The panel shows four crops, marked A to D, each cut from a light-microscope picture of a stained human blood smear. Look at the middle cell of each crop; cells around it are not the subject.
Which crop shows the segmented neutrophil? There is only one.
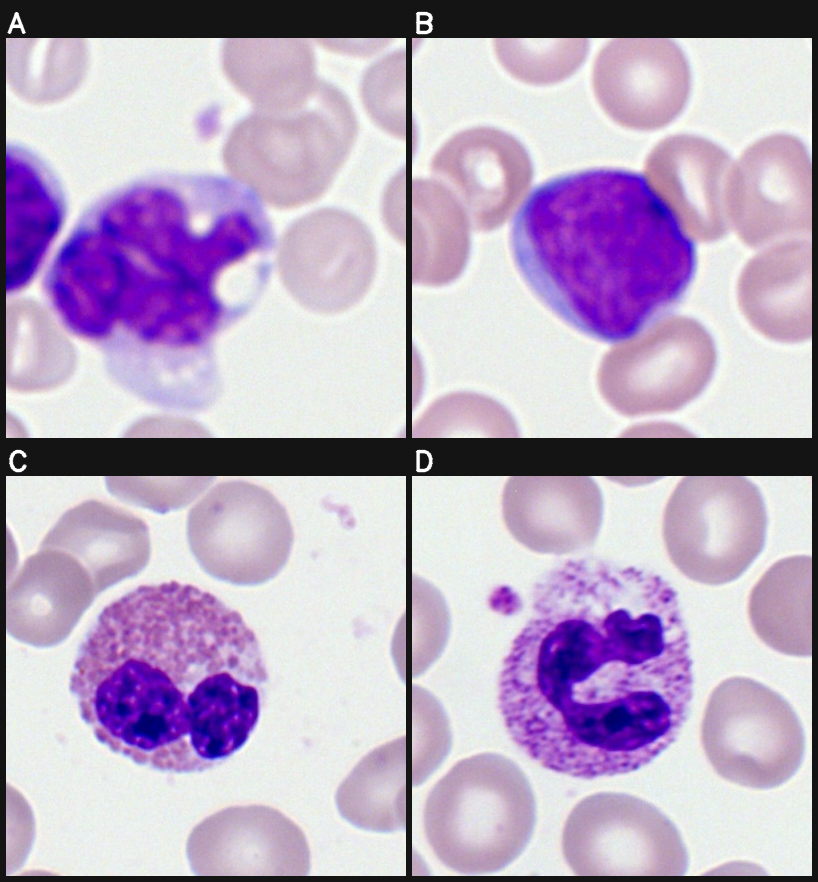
D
